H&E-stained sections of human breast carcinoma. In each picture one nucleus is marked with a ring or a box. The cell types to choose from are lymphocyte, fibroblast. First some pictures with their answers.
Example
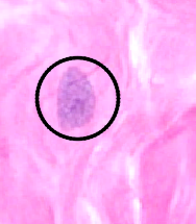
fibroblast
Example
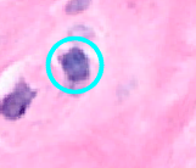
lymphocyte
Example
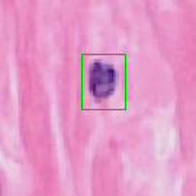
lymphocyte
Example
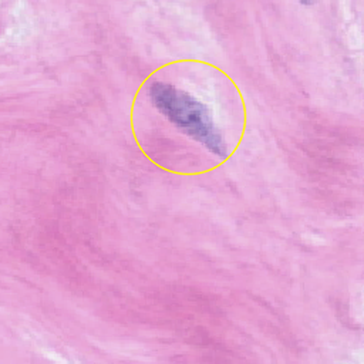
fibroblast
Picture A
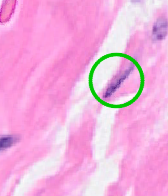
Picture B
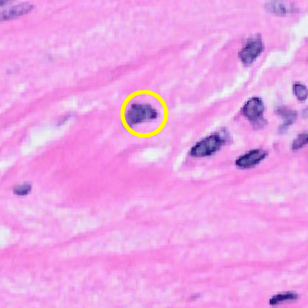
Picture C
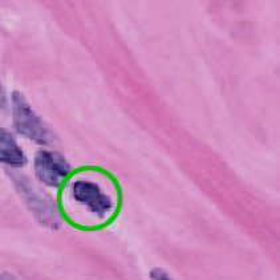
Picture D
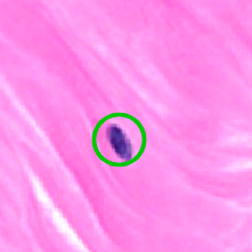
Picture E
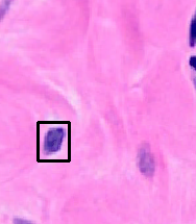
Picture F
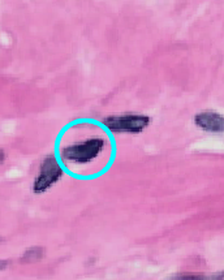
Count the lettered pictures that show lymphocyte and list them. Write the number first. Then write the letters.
5, namely B, C, D, E, F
